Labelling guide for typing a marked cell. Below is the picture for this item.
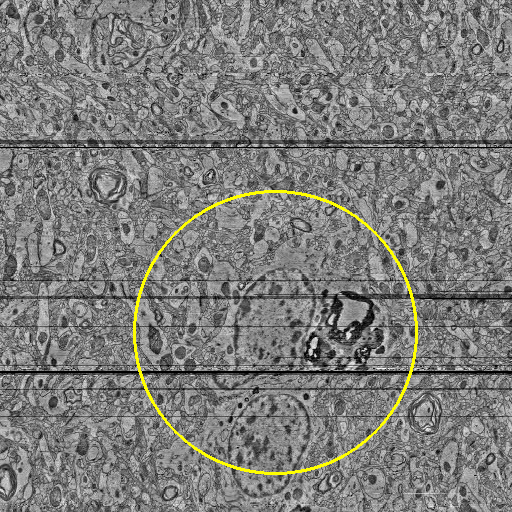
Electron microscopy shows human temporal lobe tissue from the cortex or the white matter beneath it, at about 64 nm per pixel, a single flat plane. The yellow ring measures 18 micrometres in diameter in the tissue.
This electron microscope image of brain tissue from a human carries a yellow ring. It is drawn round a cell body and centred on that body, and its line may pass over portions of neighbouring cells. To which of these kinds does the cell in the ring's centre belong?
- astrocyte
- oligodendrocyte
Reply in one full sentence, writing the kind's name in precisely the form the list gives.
Here we have an astrocyte at the centre of the yellow ring in the picture.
